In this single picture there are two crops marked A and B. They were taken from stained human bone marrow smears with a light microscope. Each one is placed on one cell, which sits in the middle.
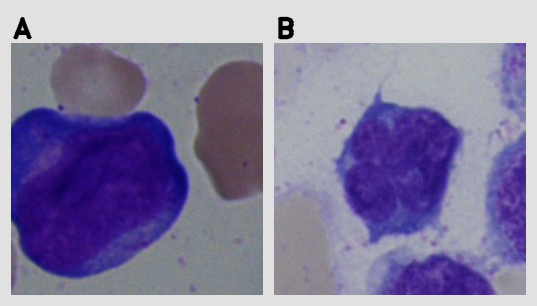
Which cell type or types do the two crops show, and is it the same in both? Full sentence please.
Yes, the pair of crops both show blasts.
